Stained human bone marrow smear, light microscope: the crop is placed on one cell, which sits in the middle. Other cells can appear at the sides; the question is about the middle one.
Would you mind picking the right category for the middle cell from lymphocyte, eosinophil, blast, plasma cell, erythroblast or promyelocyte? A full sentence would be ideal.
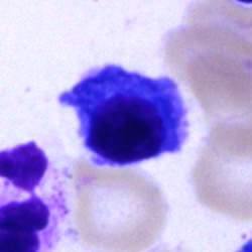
In this smear crop, the middle cell is a plasma cell.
